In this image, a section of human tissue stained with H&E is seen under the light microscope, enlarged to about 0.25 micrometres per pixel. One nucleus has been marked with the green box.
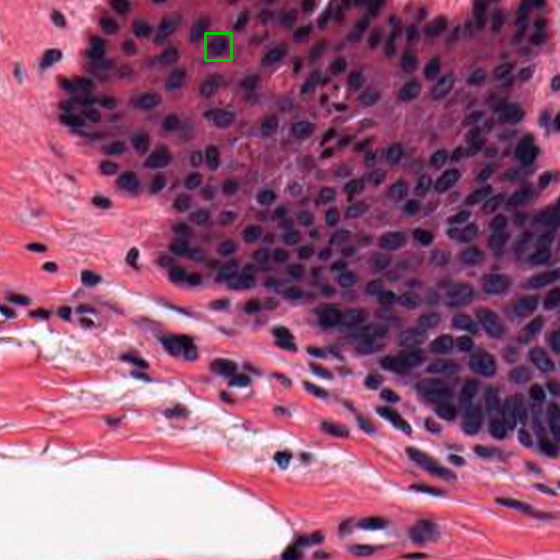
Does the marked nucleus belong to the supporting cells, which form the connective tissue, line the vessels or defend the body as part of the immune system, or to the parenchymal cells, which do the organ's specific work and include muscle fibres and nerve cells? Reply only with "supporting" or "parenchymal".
parenchymal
